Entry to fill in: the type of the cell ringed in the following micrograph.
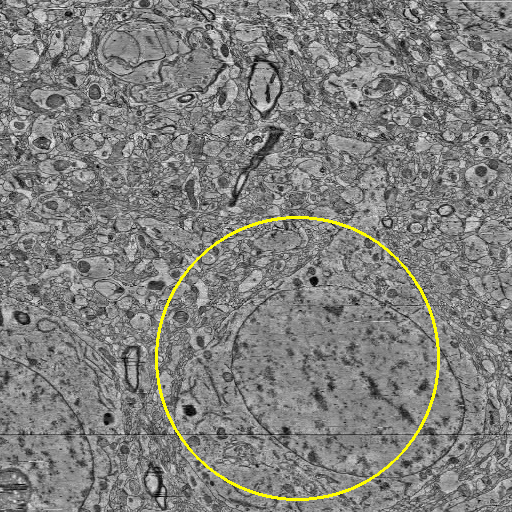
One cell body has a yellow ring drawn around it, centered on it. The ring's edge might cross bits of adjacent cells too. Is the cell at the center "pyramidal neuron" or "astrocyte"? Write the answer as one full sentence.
This entry names a pyramidal neuron as the cell whose body lies at the ring's center.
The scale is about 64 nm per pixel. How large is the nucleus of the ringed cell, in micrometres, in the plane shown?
Roughly 16 by 12 micrometres is the size of the nucleus in this plane.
